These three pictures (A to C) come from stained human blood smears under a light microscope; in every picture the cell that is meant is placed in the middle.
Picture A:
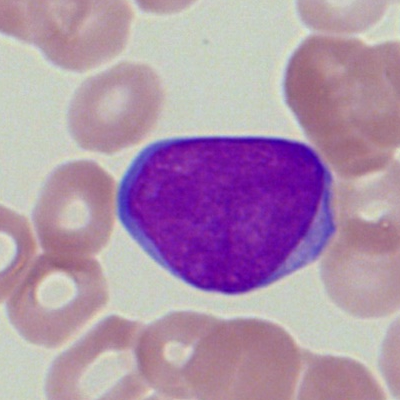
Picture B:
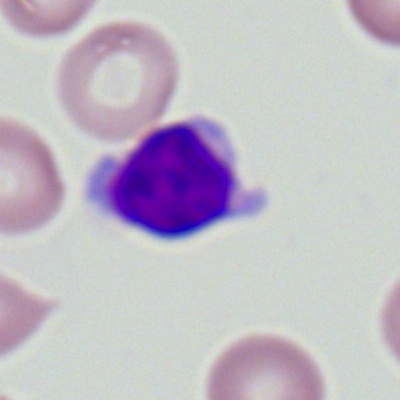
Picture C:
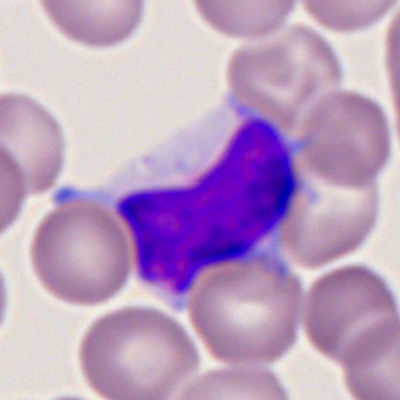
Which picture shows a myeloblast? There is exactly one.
A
